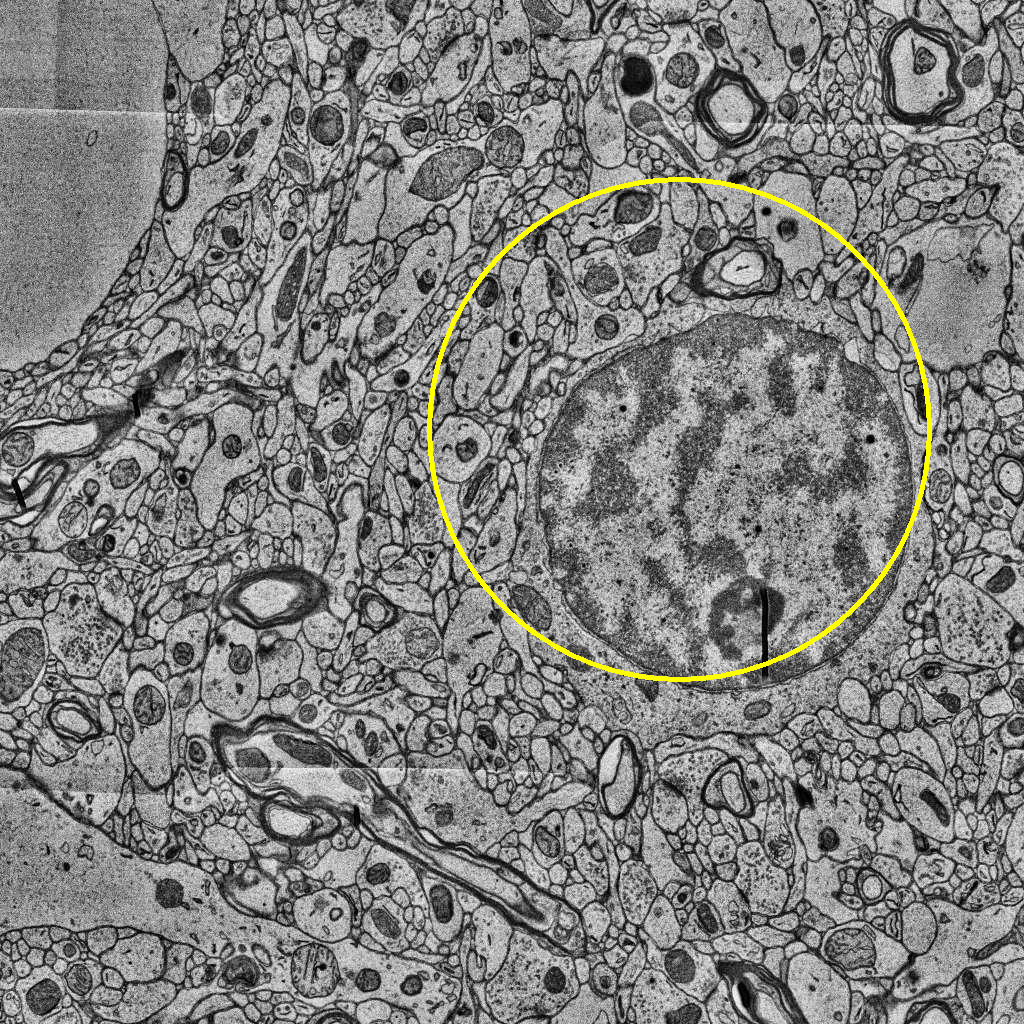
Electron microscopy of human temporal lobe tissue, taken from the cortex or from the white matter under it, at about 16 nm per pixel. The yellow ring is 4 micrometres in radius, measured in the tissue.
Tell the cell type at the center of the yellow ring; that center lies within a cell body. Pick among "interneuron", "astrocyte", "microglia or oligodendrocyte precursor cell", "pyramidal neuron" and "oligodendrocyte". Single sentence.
The ring's center lies in the body of an oligodendrocyte.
